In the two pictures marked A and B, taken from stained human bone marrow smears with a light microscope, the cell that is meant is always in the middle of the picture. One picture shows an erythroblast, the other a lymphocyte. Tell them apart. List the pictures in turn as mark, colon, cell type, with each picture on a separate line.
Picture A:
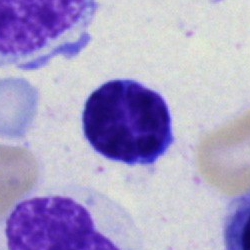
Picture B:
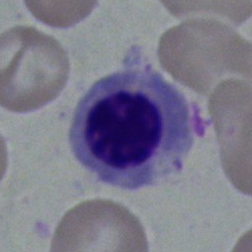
A: lymphocyte
B: erythroblast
